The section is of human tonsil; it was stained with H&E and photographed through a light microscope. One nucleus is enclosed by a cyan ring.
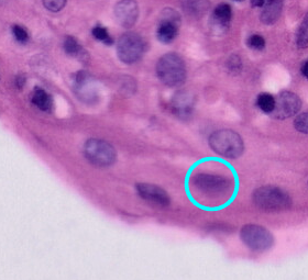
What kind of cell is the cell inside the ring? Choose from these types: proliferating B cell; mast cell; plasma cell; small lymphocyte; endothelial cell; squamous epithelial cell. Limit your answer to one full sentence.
It is a squamous epithelial cell that the cell inside the ring represents.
